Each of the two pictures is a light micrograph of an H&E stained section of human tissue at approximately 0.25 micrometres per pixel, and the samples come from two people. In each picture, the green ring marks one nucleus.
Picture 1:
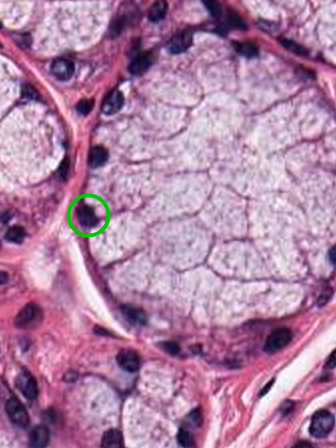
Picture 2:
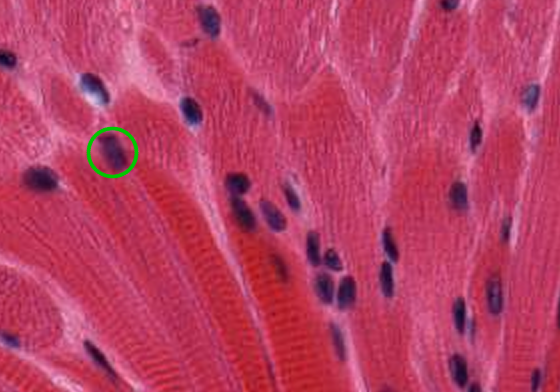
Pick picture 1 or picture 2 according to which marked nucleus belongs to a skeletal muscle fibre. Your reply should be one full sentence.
The mark in picture 2 is placed on the nucleus of a skeletal muscle fibre.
